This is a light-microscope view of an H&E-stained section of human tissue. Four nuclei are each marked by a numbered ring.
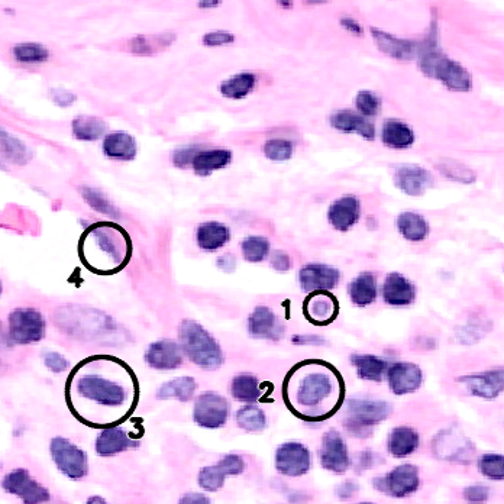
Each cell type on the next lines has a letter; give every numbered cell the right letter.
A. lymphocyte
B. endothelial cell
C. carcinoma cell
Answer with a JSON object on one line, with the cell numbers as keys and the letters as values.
{"1": "A", "2": "A", "3": "A", "4": "B"}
